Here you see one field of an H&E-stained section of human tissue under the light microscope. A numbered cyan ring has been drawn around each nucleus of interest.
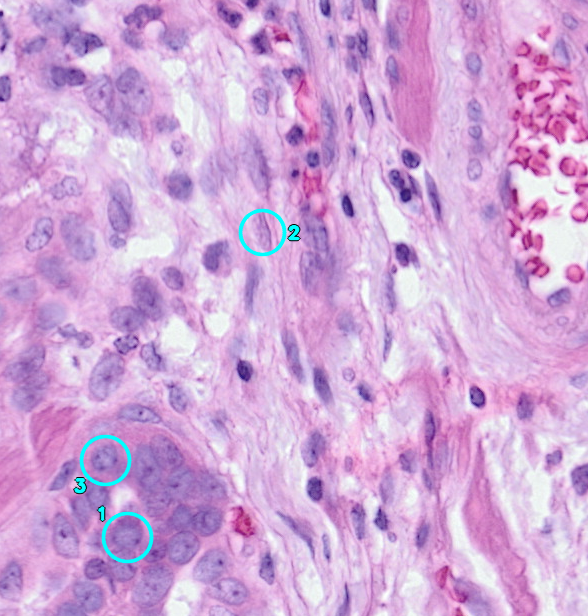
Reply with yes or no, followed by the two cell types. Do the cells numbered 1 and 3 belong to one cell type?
Yes, cells 1 and 3 are both to be classed as carcinoma cells.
